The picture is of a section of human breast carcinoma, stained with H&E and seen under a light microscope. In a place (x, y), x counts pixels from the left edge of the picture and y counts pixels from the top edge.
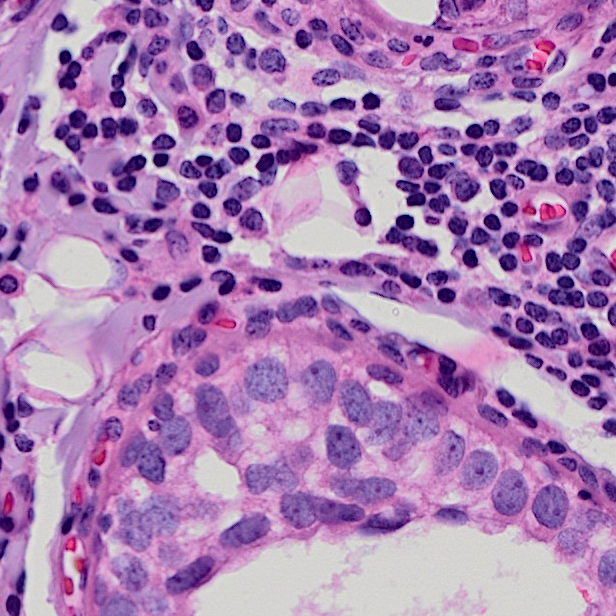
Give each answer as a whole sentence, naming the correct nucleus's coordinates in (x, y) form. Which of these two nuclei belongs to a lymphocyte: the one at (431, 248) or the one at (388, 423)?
The one at (431, 248) is the nucleus belonging to a lymphocyte, not the other one.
